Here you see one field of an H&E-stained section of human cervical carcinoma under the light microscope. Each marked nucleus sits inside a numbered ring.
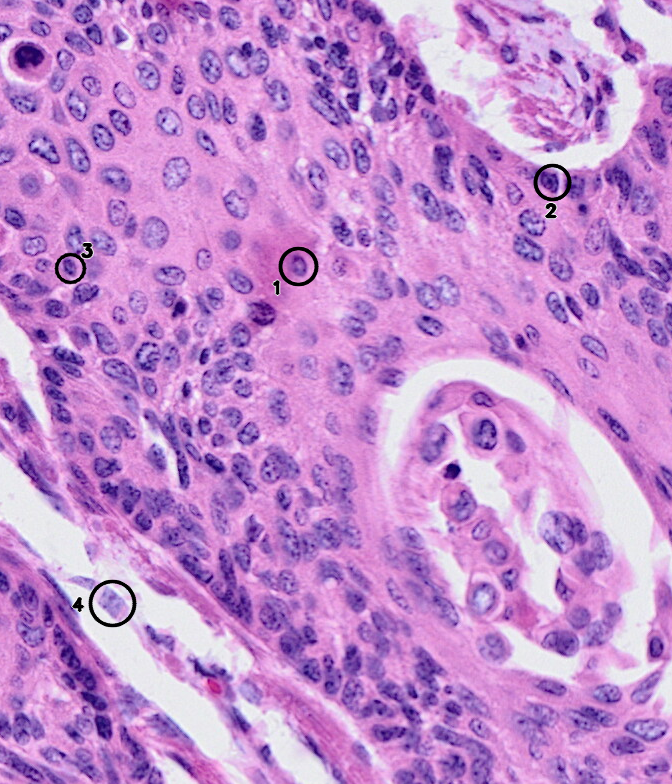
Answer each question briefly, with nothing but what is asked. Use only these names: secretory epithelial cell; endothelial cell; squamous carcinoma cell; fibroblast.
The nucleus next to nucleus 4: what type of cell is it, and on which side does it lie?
a fibroblast, above and to the left of nucleus 4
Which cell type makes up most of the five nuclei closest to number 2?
squamous carcinoma cell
